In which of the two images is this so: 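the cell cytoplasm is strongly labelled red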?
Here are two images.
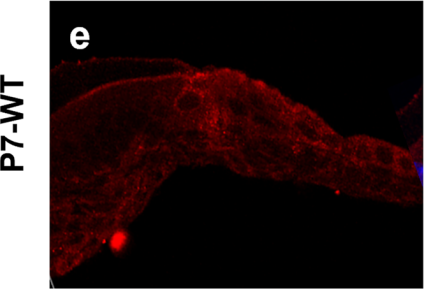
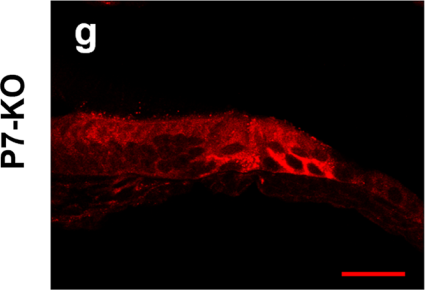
The second image.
